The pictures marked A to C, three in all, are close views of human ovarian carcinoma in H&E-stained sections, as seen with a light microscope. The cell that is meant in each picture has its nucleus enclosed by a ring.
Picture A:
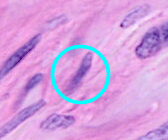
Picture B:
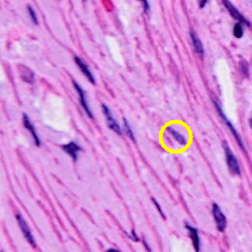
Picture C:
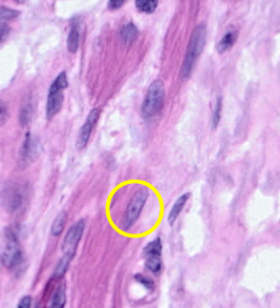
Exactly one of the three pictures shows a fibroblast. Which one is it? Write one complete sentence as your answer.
It is picture B that shows the fibroblast.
